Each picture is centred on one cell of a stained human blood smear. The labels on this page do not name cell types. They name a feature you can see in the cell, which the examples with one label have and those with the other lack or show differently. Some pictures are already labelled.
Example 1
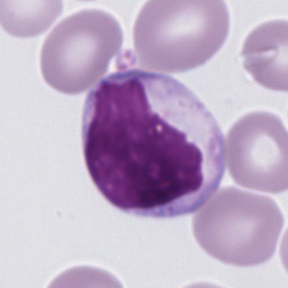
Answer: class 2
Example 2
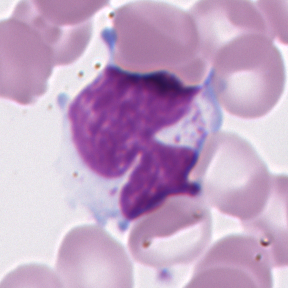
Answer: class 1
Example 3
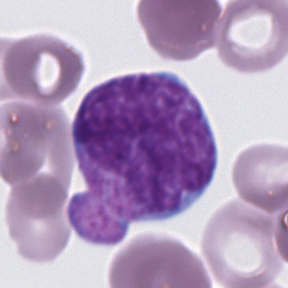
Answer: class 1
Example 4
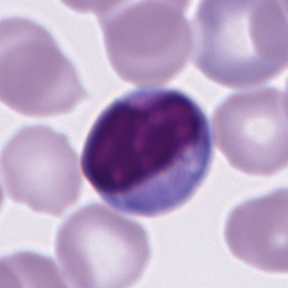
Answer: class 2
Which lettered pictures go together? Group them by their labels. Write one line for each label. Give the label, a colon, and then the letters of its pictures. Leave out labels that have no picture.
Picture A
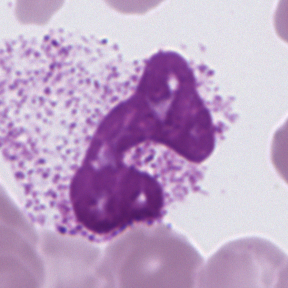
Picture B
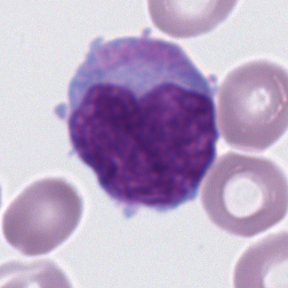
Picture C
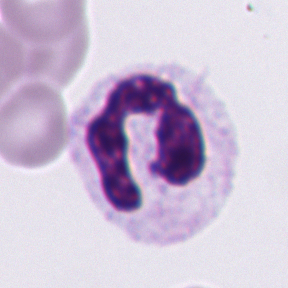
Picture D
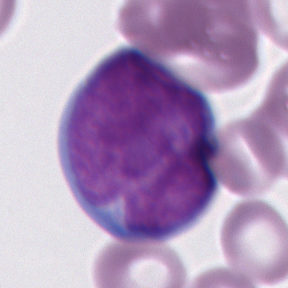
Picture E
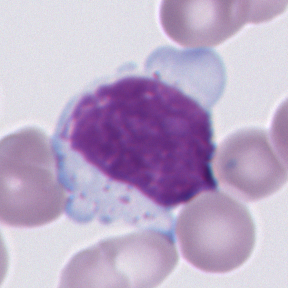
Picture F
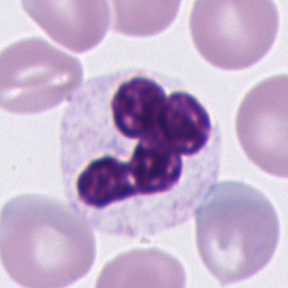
class 2: D, F
class 1: A, B, C, E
